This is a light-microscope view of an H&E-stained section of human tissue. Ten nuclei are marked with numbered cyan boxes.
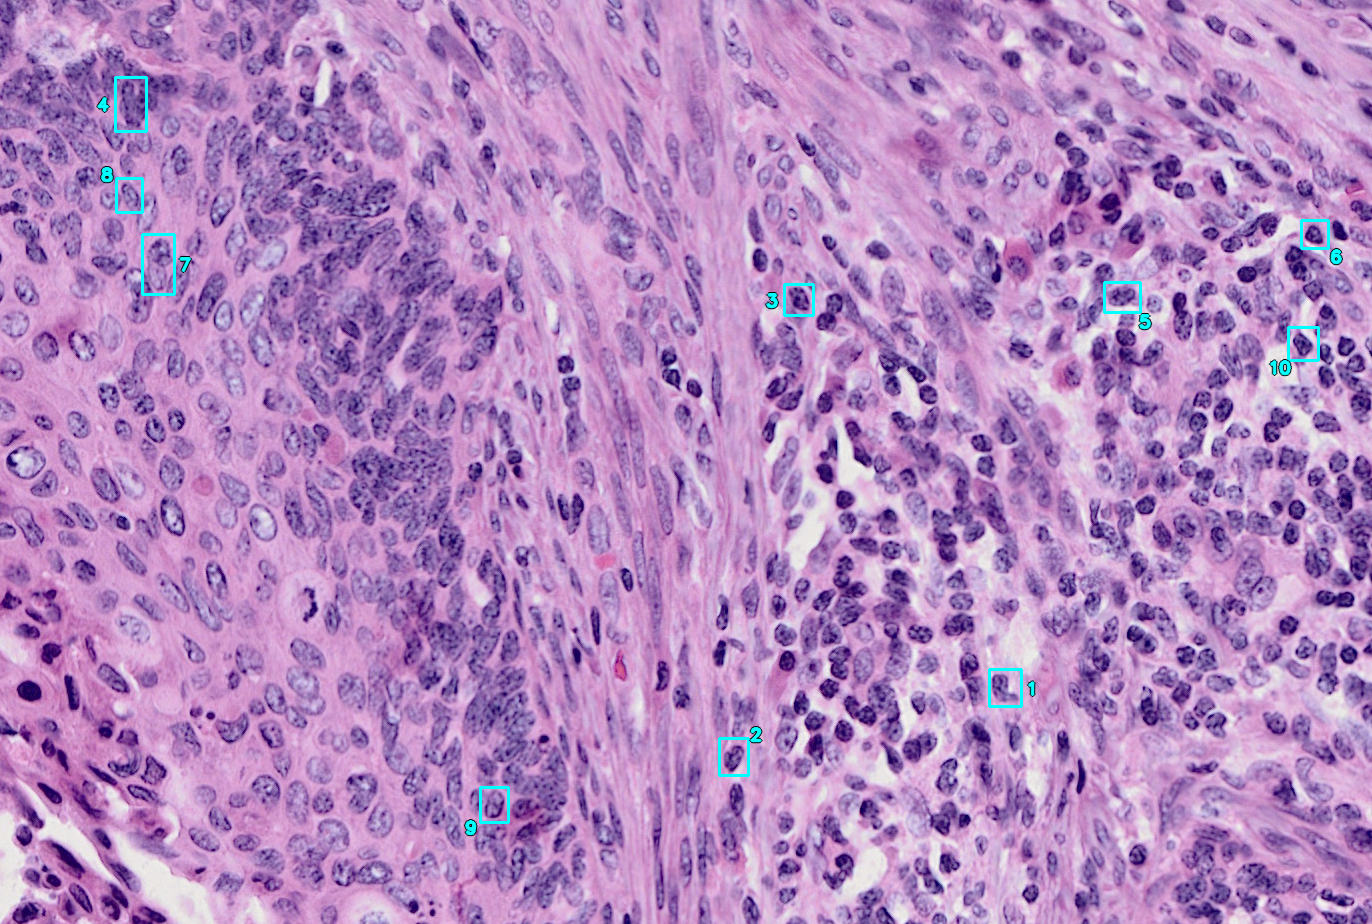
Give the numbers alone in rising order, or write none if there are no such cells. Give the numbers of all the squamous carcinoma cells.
4, 7, 8, 9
